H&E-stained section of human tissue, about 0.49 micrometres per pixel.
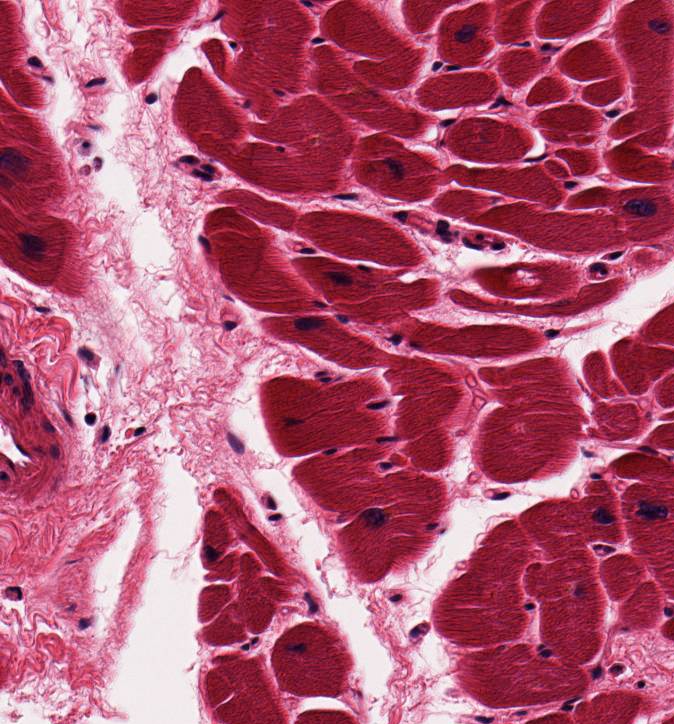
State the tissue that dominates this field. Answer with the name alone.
myocardium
